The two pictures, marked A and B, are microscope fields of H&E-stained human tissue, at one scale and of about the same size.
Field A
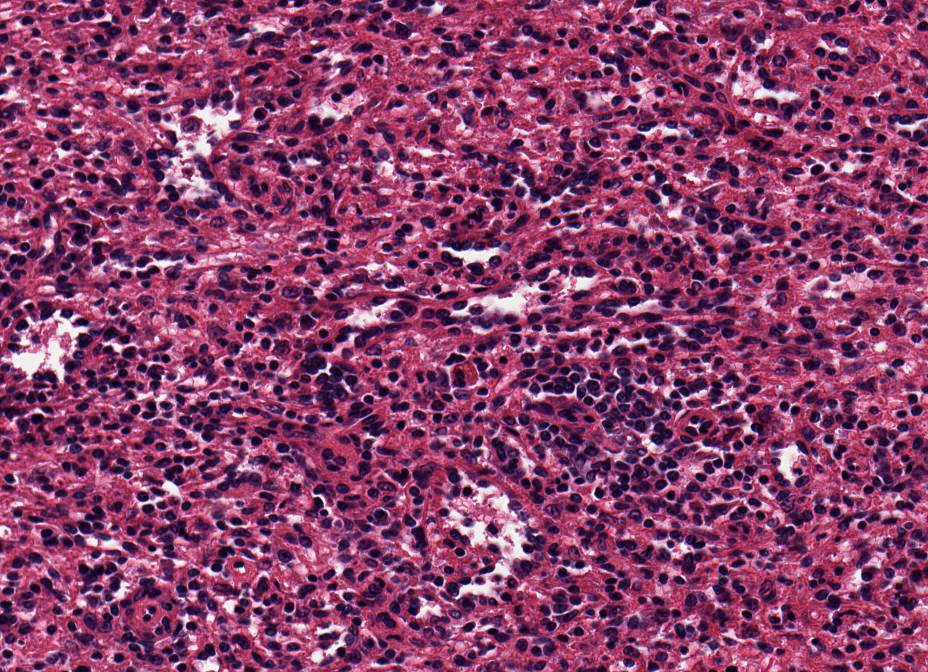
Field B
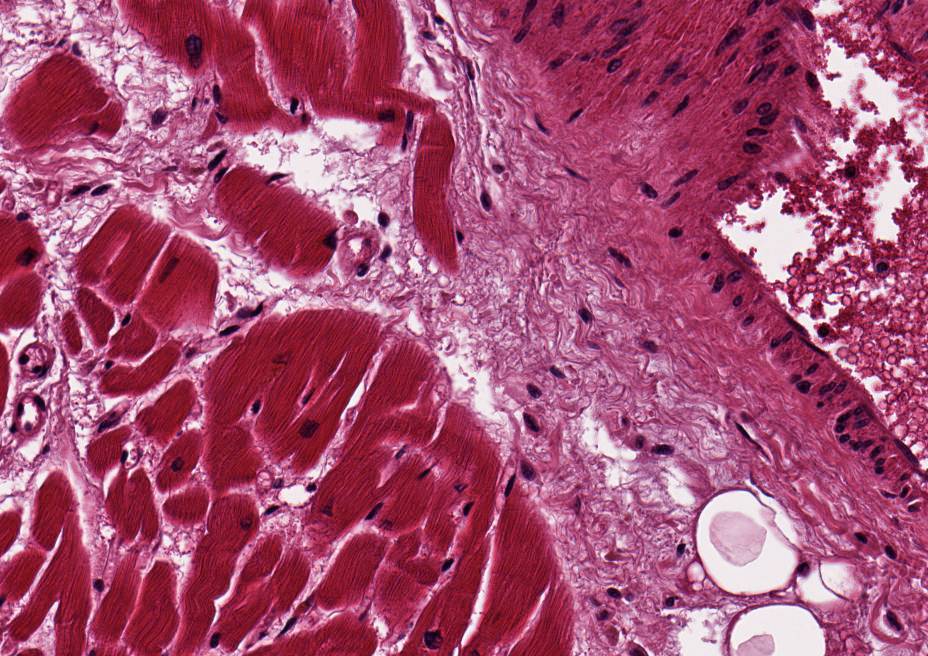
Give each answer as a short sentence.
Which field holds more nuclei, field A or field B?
Field A holds more nuclei than field B.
